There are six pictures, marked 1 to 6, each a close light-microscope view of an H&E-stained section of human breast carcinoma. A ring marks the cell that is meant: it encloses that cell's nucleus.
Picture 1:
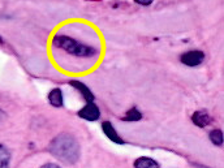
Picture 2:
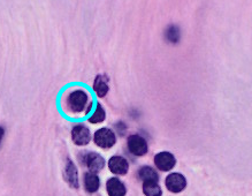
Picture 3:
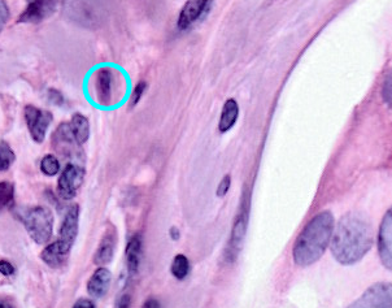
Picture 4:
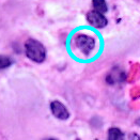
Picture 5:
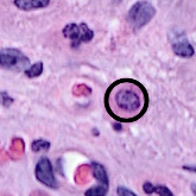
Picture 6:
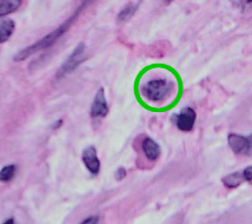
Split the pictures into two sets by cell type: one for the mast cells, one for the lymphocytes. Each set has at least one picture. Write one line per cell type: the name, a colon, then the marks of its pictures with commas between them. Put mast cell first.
mast cell: 1, 3, 5, 6
lymphocyte: 2, 4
